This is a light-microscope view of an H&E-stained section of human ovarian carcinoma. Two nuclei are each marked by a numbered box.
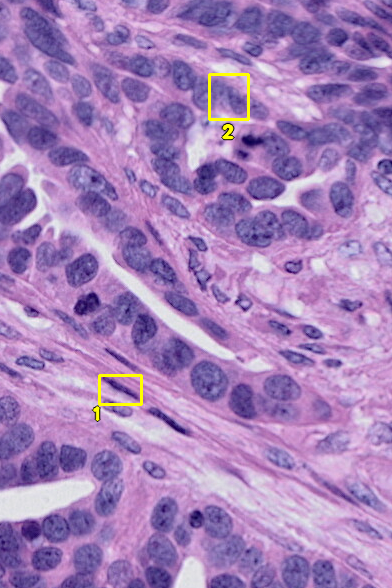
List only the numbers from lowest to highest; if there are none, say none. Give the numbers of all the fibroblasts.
1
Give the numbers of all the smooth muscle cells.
none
